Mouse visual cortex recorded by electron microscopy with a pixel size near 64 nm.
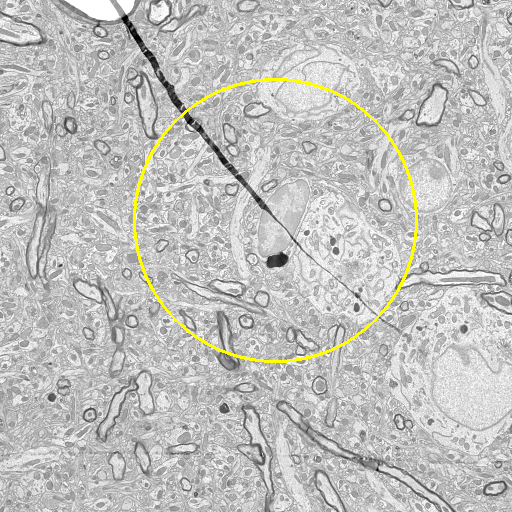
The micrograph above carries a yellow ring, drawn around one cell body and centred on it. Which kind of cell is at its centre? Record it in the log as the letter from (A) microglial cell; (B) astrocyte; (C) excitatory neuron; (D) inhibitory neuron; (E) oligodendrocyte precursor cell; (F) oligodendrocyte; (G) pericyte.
A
